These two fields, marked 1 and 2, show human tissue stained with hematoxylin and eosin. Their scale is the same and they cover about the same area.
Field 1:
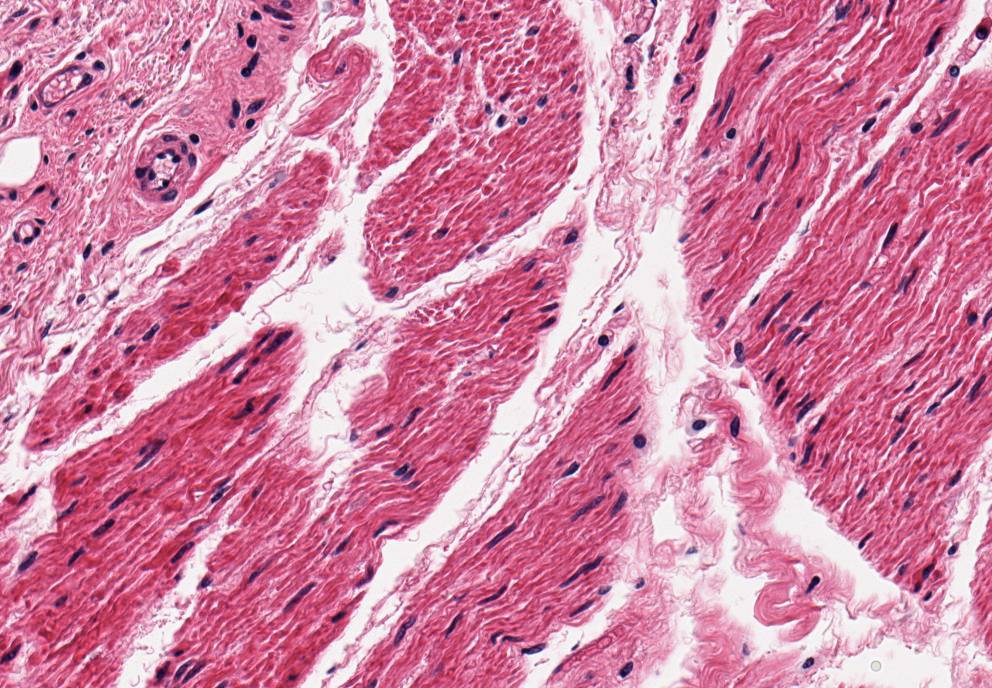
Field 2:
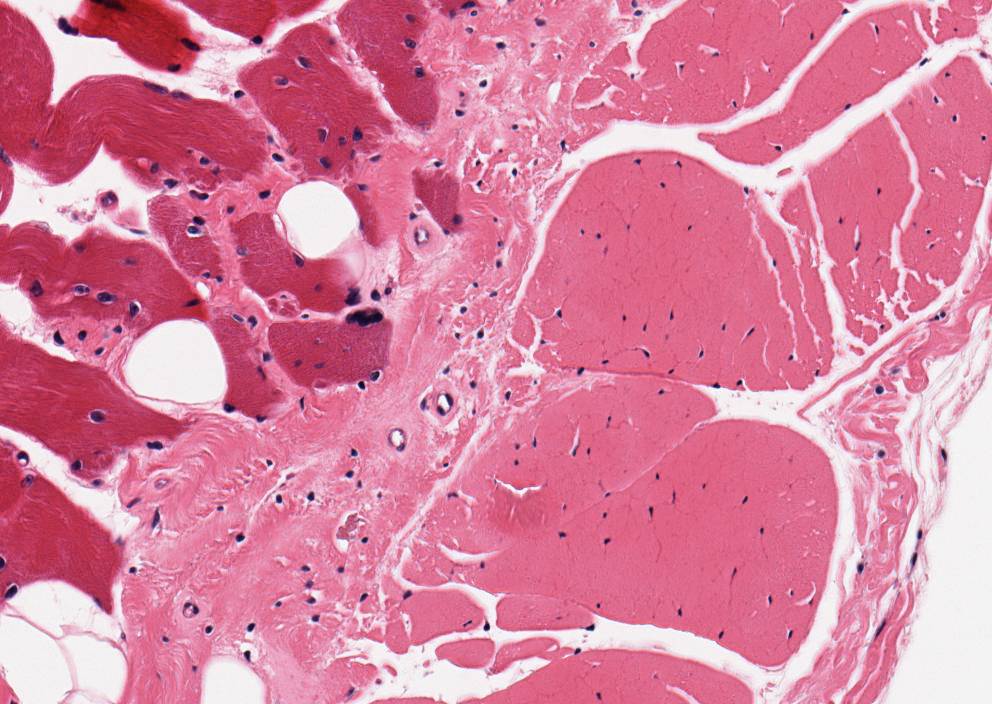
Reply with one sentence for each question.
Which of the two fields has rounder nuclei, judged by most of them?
Rounder nuclei lie in field 2.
